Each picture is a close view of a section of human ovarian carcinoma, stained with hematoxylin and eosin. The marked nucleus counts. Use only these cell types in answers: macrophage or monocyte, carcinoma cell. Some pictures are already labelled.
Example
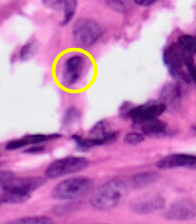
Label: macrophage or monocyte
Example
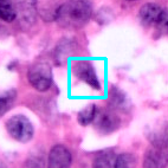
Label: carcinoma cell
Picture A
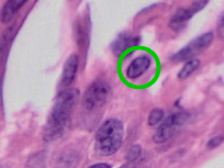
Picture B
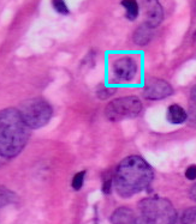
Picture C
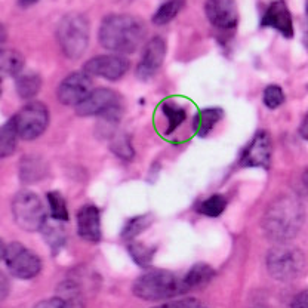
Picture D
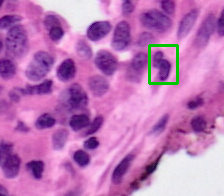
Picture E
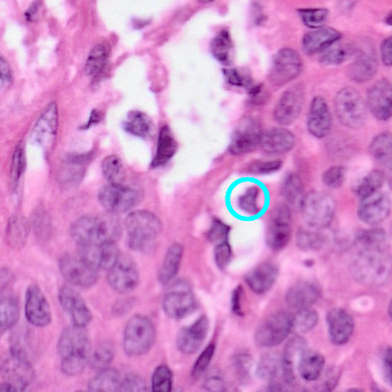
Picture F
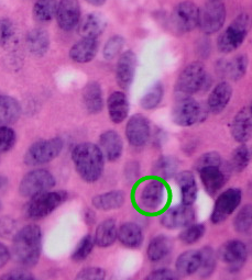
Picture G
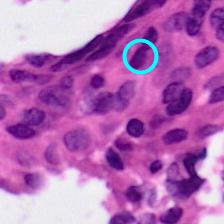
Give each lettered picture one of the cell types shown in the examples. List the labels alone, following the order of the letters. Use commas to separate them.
macrophage or monocyte, macrophage or monocyte, macrophage or monocyte, macrophage or monocyte, macrophage or monocyte, carcinoma cell, carcinoma cell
